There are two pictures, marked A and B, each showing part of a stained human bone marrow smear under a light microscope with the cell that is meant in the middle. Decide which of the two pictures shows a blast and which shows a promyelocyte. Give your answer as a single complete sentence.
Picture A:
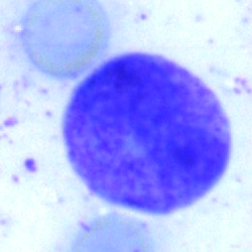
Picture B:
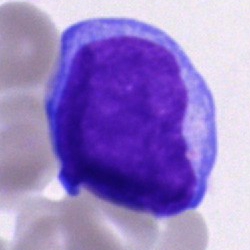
Picture B shows a blast, while picture A shows a promyelocyte.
